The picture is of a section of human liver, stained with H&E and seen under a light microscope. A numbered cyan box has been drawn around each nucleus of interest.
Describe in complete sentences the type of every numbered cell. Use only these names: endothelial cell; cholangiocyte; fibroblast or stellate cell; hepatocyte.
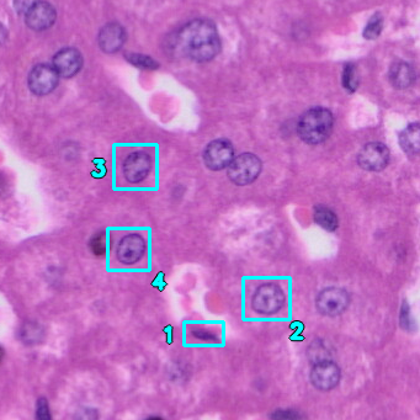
Cell 1 is an endothelial cell. Cells 2, 3 and 4 are hepatocytes.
